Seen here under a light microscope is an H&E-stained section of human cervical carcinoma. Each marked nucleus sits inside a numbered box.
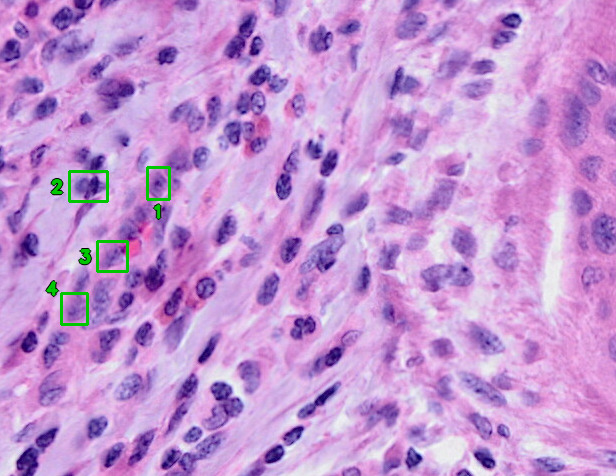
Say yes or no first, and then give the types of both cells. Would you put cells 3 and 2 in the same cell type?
No, cell 3 is an endothelial cell; cell 2 is a lymphocyte.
